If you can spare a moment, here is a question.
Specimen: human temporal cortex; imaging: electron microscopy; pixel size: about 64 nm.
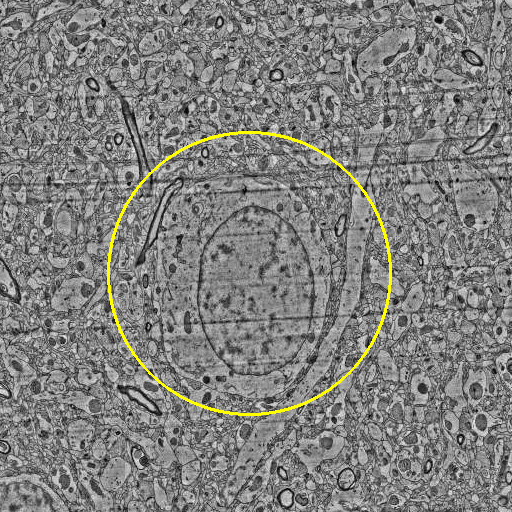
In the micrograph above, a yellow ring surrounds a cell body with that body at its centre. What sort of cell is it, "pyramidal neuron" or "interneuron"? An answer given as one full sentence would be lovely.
Centred inside the yellow ring, the cell body shown belongs to a pyramidal neuron in this micrograph.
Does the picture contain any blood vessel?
No, no blood vessel can be seen.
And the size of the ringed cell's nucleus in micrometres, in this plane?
Roughly 11 micrometres by 8 micrometres, in this plane.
